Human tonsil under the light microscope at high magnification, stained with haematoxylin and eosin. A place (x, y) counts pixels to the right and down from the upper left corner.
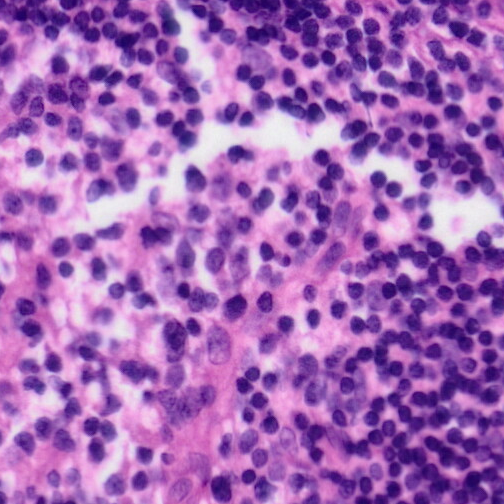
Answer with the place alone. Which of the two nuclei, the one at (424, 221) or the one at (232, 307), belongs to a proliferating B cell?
(232, 307)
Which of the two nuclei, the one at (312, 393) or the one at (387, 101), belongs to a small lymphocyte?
(387, 101)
